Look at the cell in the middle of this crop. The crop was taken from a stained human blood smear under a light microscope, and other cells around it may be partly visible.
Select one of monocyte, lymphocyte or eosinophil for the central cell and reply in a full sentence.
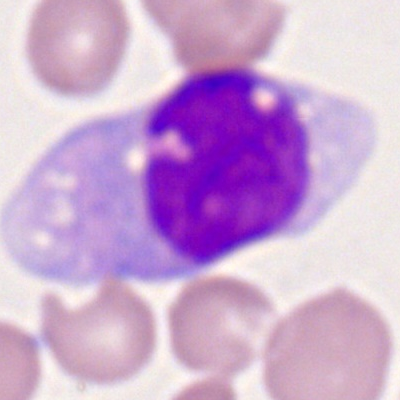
In short, the cell at the center is a monocyte.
